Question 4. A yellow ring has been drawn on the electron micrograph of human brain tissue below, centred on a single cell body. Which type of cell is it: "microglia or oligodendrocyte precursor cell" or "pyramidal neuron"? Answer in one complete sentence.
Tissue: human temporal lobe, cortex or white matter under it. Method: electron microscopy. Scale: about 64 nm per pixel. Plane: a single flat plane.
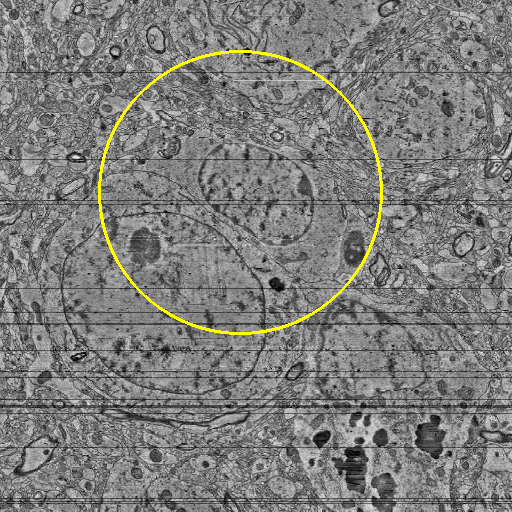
This cell body belongs to a microglial cell or oligodendrocyte precursor cell.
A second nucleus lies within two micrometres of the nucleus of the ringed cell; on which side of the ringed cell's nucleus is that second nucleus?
The second nucleus is to the lower left of it.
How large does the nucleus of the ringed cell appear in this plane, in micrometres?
The nucleus appears roughly 8 by 5 micrometres in this plane.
